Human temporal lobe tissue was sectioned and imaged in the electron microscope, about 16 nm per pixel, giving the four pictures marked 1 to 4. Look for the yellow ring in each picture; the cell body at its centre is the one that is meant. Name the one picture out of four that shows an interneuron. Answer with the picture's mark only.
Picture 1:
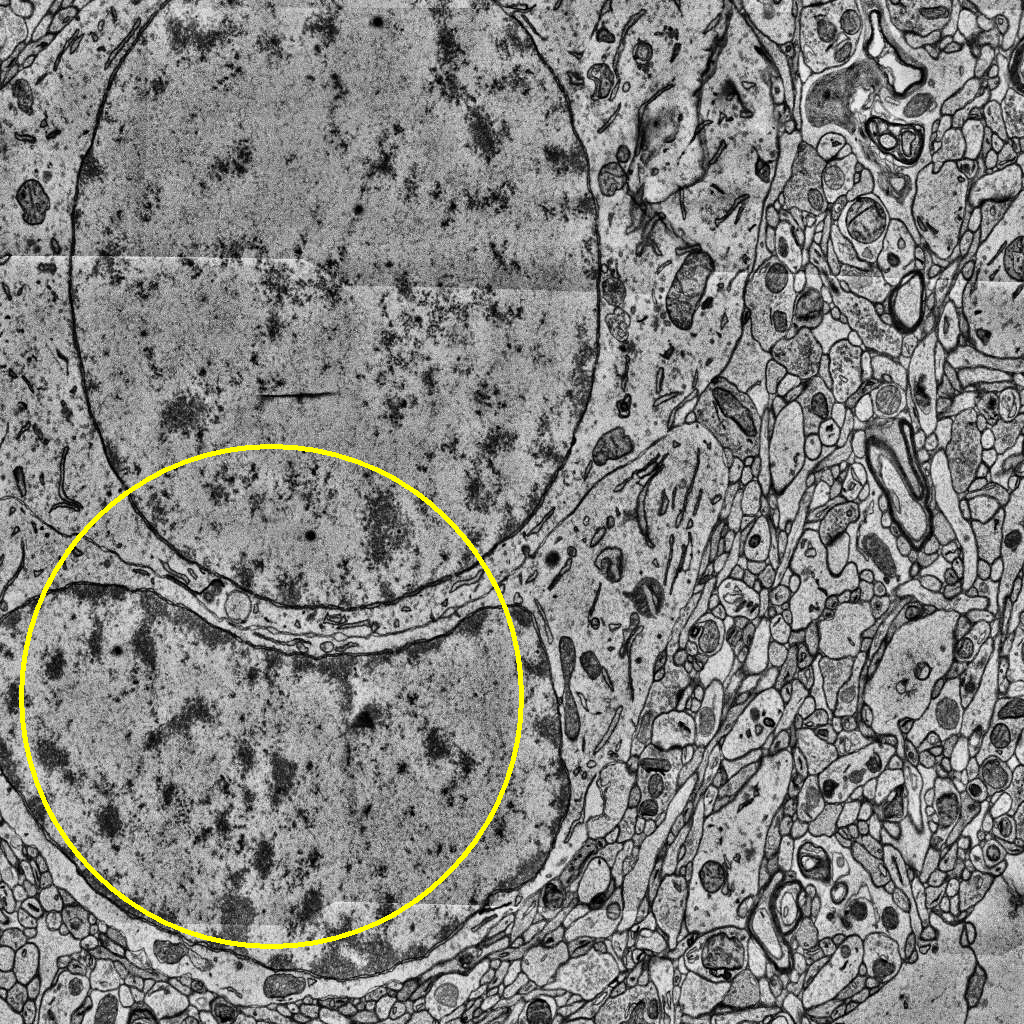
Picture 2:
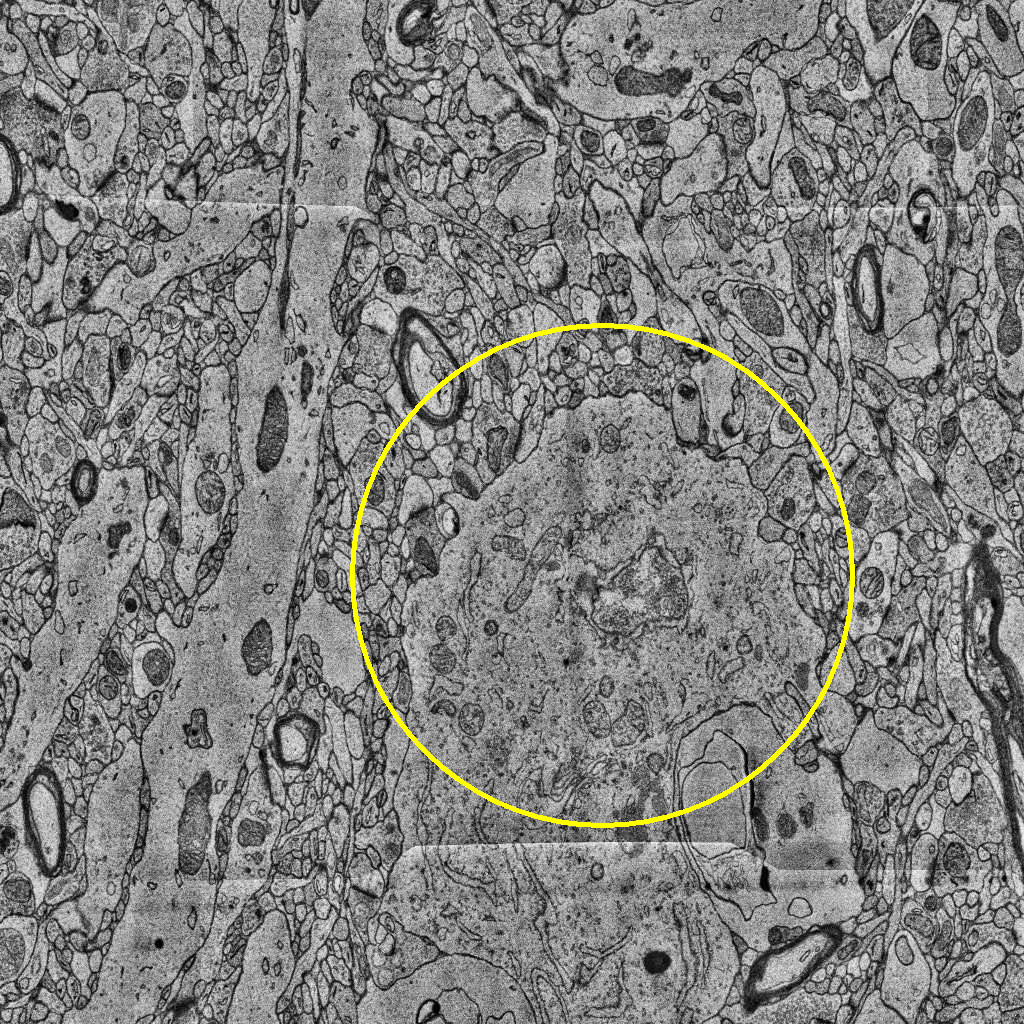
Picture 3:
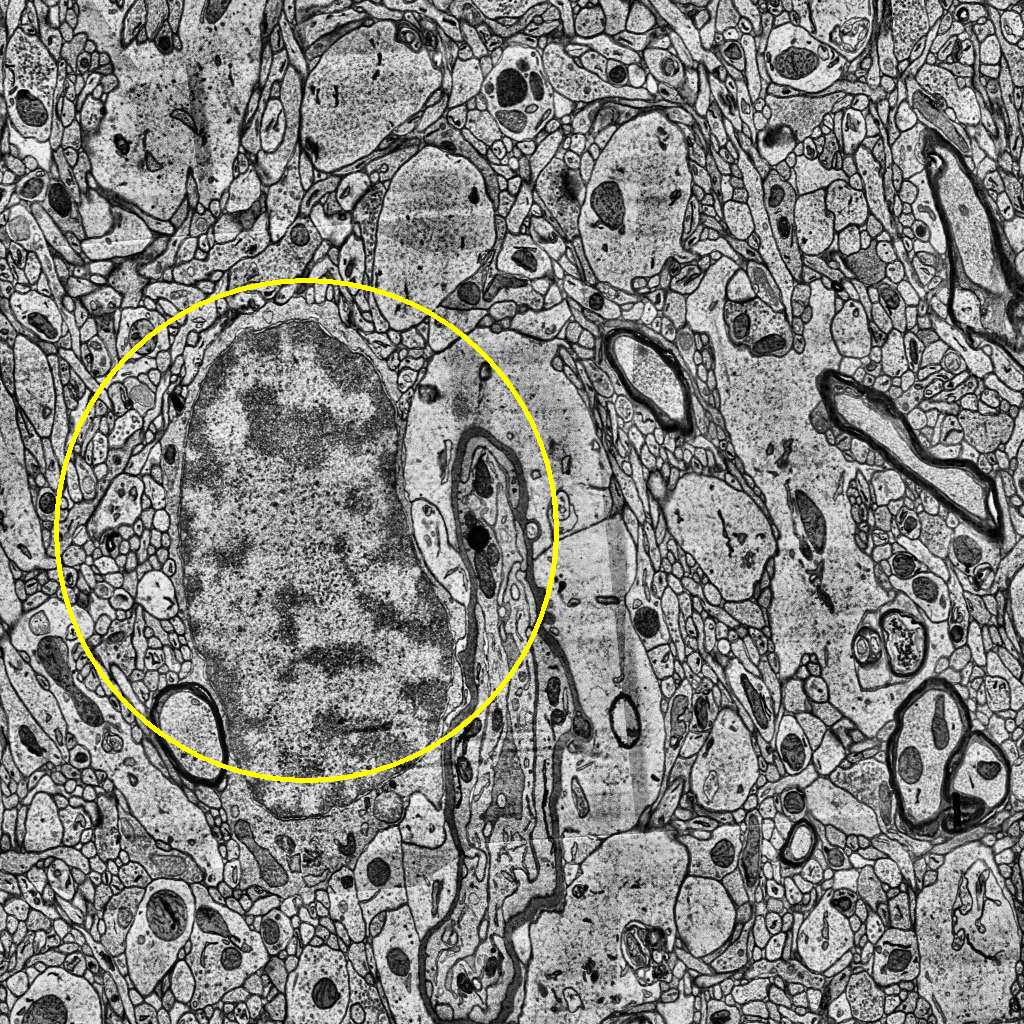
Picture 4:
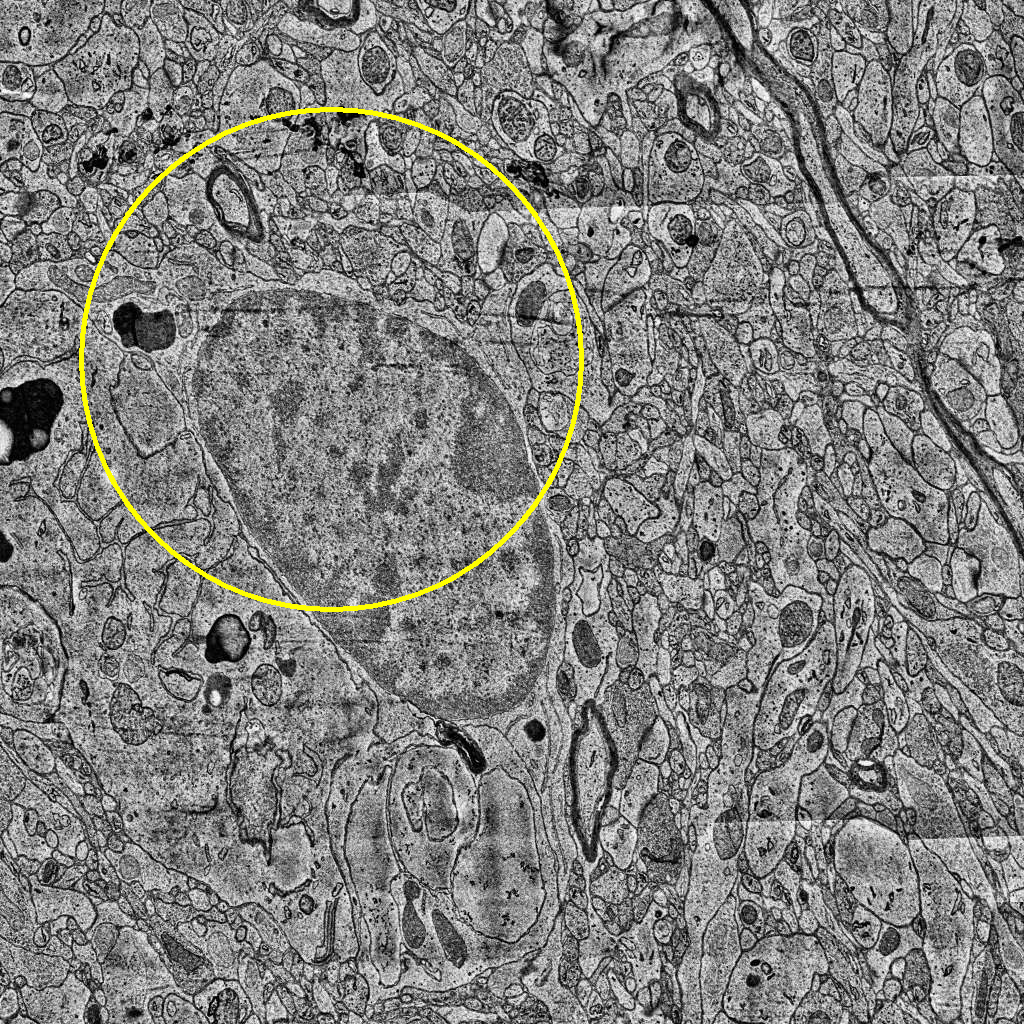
2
